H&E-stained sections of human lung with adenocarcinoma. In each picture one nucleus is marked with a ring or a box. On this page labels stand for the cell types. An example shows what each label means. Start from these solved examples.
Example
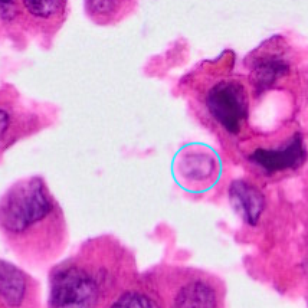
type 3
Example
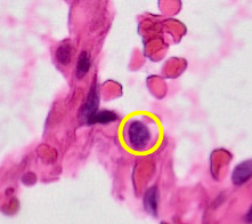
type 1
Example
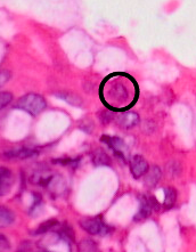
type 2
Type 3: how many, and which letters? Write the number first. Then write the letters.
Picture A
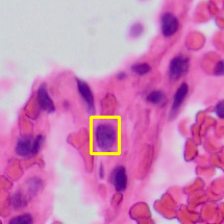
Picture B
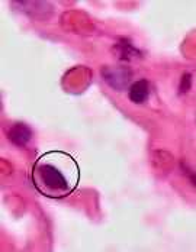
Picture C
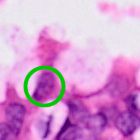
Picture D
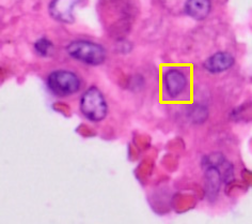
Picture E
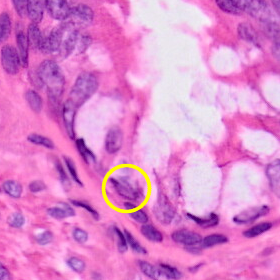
1, namely D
